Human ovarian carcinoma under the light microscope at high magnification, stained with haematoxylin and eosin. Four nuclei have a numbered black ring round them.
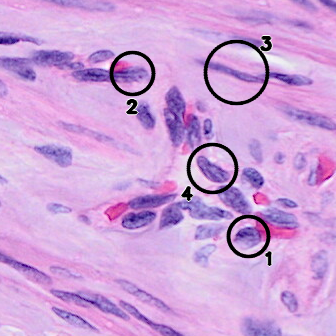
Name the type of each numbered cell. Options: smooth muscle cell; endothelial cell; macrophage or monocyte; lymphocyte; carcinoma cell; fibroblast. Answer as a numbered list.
1. endothelial cell
2. endothelial cell
3. smooth muscle cell
4. endothelial cell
